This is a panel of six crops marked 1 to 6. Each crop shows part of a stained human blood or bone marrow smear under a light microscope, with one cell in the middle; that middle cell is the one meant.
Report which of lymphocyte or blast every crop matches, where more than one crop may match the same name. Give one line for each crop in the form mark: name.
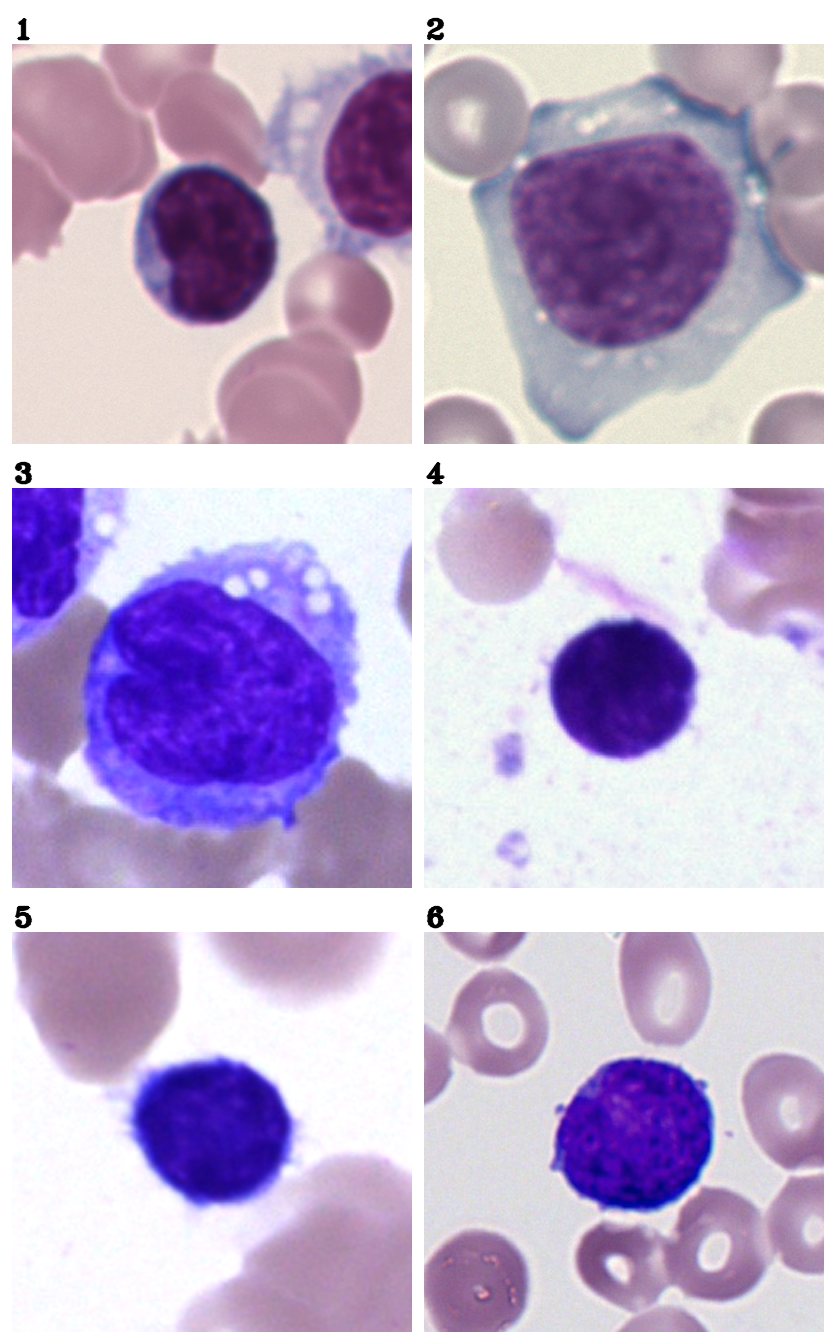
1: lymphocyte
2: blast
3: blast
4: lymphocyte
5: lymphocyte
6: blast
